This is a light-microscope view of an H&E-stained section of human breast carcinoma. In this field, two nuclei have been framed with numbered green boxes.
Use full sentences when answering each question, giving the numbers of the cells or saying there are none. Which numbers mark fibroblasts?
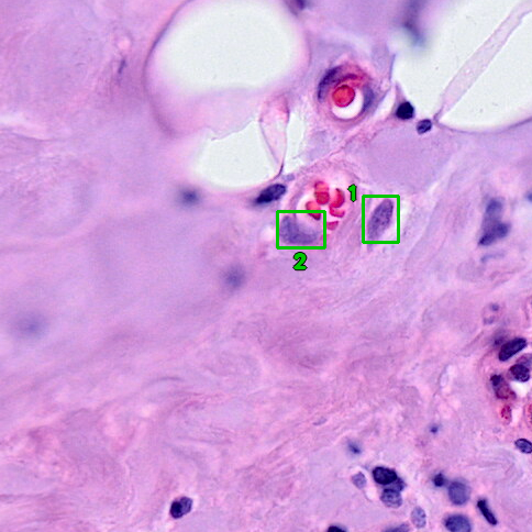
Only one marked cell, number 1, is a fibroblast.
